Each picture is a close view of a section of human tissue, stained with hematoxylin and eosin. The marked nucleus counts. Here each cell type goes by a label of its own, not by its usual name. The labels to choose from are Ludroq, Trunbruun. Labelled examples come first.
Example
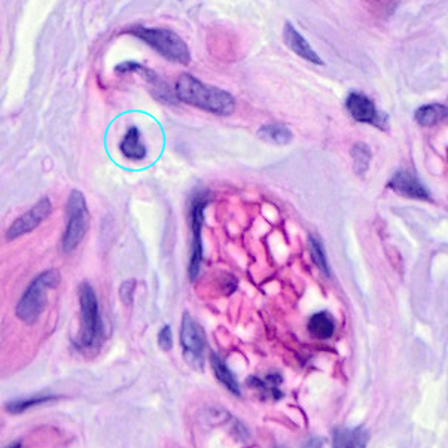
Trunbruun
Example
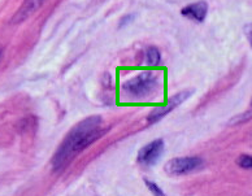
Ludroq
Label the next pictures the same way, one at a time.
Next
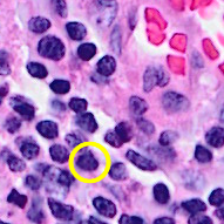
Trunbruun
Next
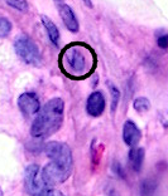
Ludroq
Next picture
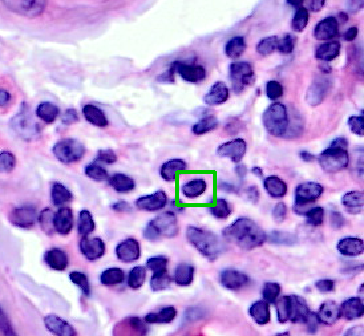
Trunbruun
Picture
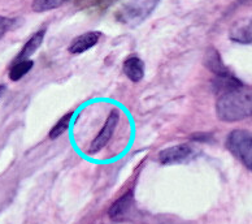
Ludroq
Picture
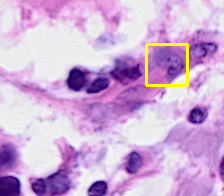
Ludroq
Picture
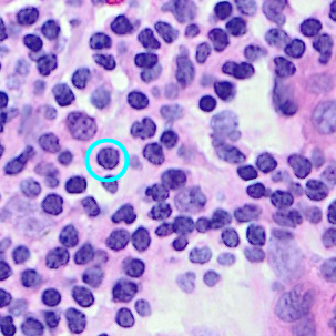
Trunbruun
